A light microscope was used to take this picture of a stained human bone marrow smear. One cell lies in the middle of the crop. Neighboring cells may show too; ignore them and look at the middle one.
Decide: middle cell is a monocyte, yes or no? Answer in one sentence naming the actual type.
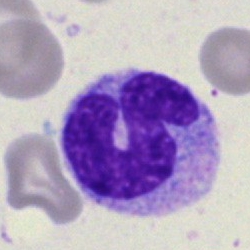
Yes, the cell sitting in the middle of this smear crop is a monocyte.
